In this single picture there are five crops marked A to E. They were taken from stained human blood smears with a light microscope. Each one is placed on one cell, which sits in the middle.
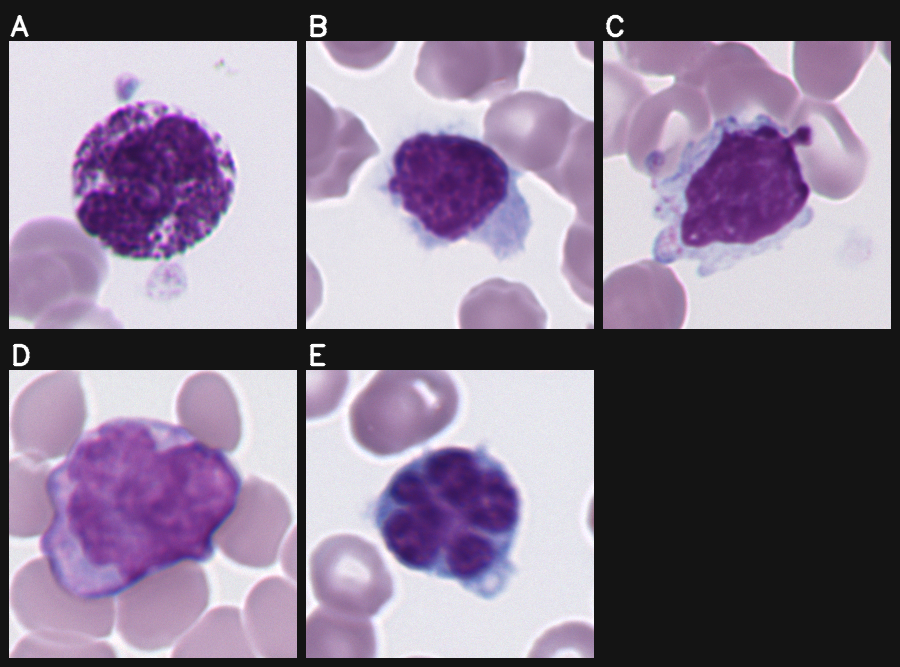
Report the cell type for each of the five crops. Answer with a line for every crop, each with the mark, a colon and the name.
A: basophil
B: hairy cell
C: large granular lymphocyte
D: atypical promyelocyte
E: monocyte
